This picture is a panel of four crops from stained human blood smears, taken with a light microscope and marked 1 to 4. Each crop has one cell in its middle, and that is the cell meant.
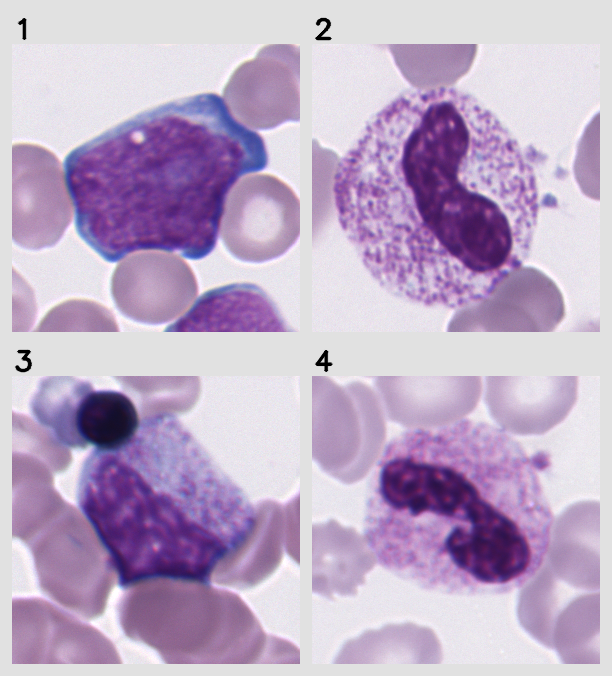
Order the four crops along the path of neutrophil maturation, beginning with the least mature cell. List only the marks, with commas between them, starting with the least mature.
1, 3, 2, 4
